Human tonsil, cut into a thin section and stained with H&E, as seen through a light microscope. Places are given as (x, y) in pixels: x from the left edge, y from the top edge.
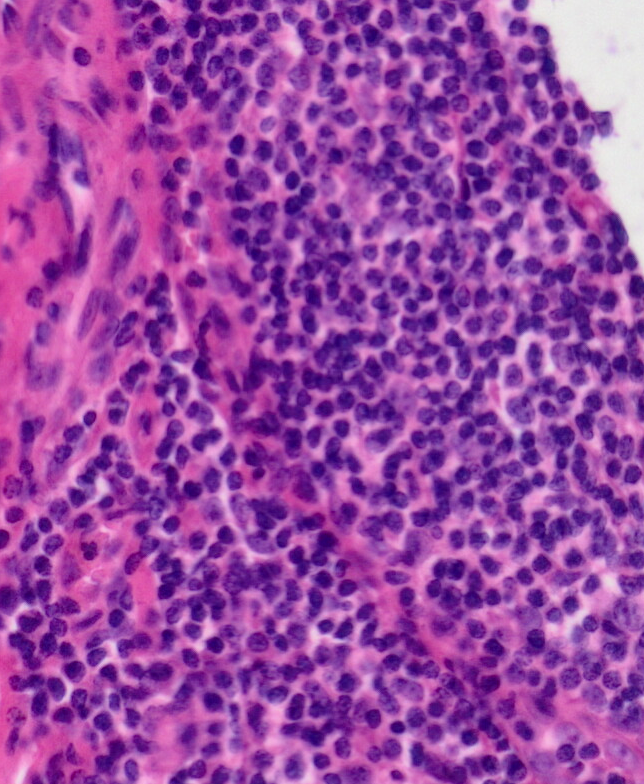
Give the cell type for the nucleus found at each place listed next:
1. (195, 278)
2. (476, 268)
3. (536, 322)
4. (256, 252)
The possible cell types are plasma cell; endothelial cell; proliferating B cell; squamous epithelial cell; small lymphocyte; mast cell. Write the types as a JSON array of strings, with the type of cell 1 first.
["endothelial cell", "small lymphocyte", "small lymphocyte", "small lymphocyte"]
